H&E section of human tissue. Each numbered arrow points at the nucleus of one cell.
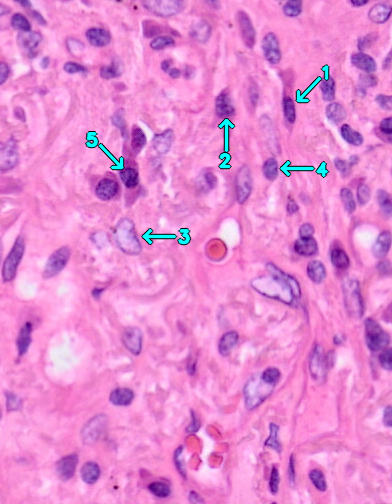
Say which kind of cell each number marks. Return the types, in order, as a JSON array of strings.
["plasma cell", "plasma cell", "fibroblast", "lymphocyte", "plasma cell"]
